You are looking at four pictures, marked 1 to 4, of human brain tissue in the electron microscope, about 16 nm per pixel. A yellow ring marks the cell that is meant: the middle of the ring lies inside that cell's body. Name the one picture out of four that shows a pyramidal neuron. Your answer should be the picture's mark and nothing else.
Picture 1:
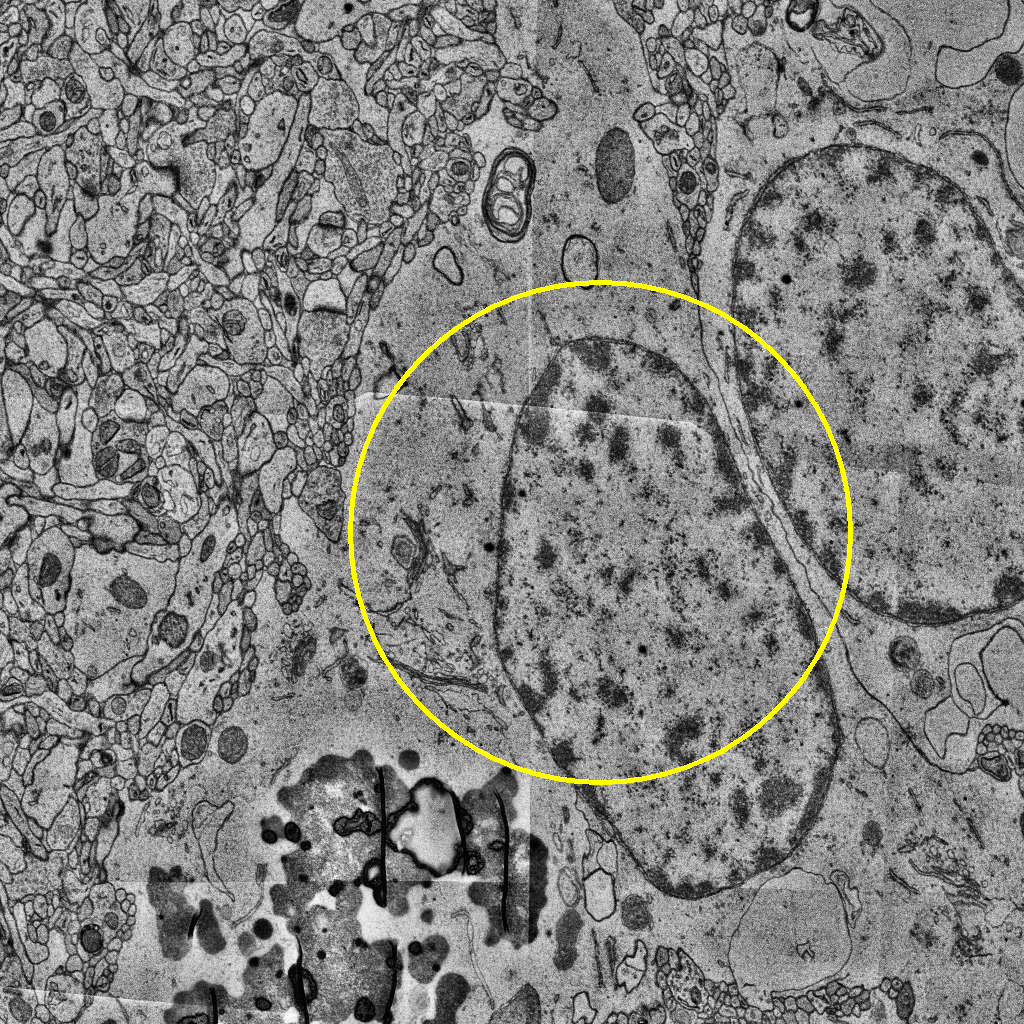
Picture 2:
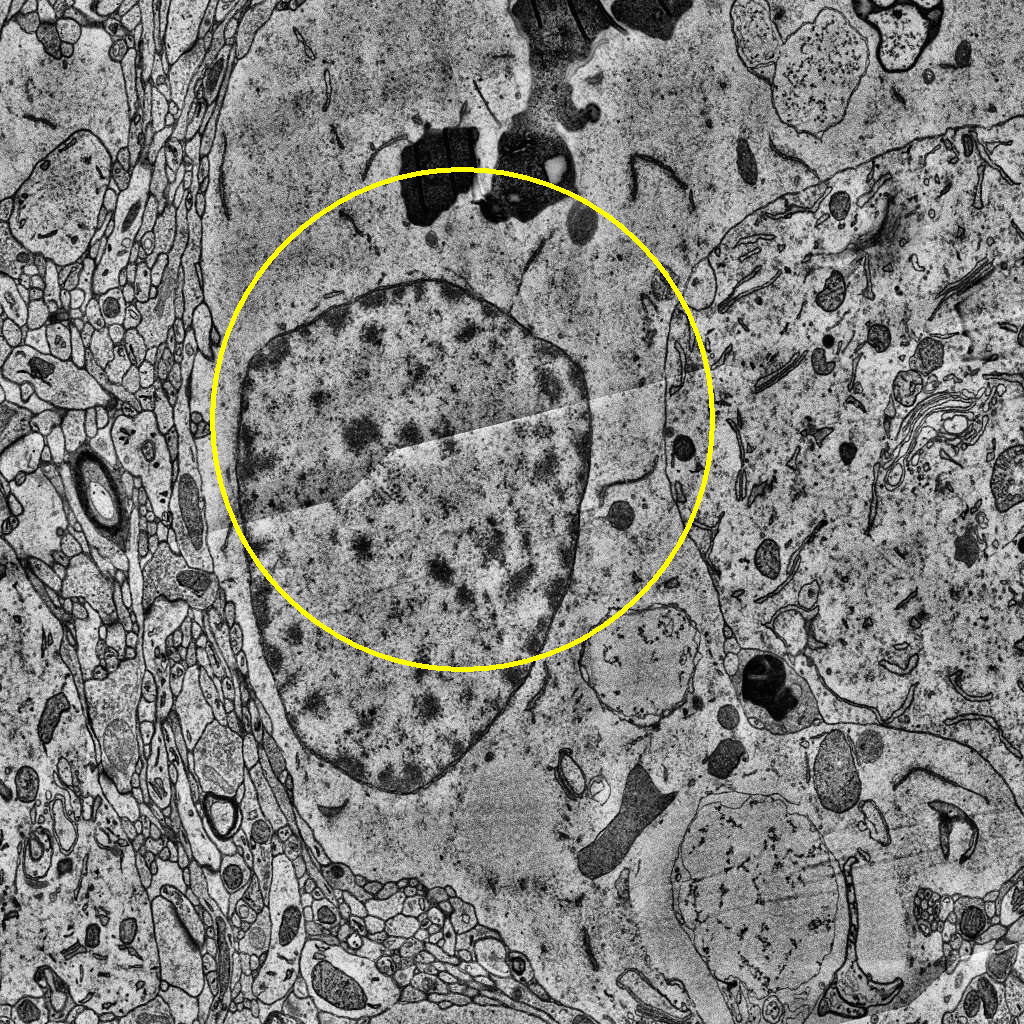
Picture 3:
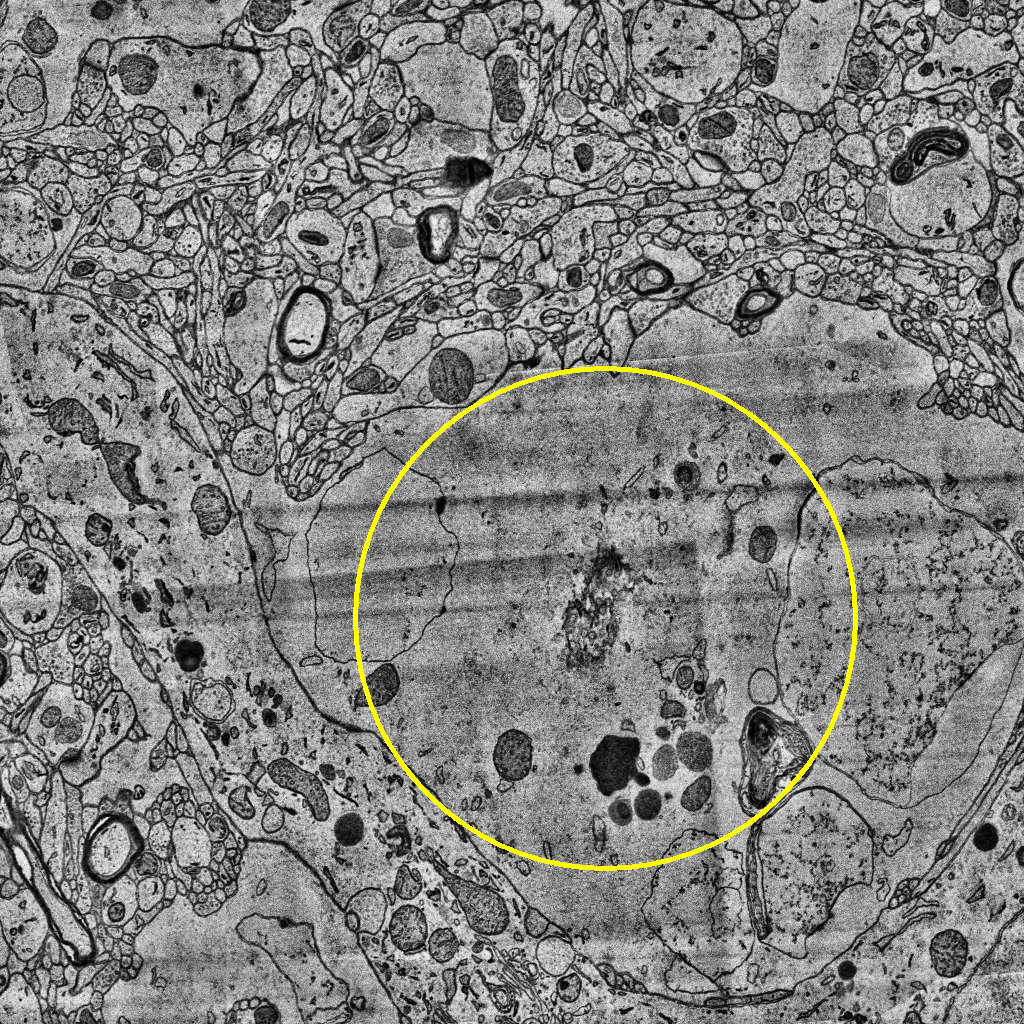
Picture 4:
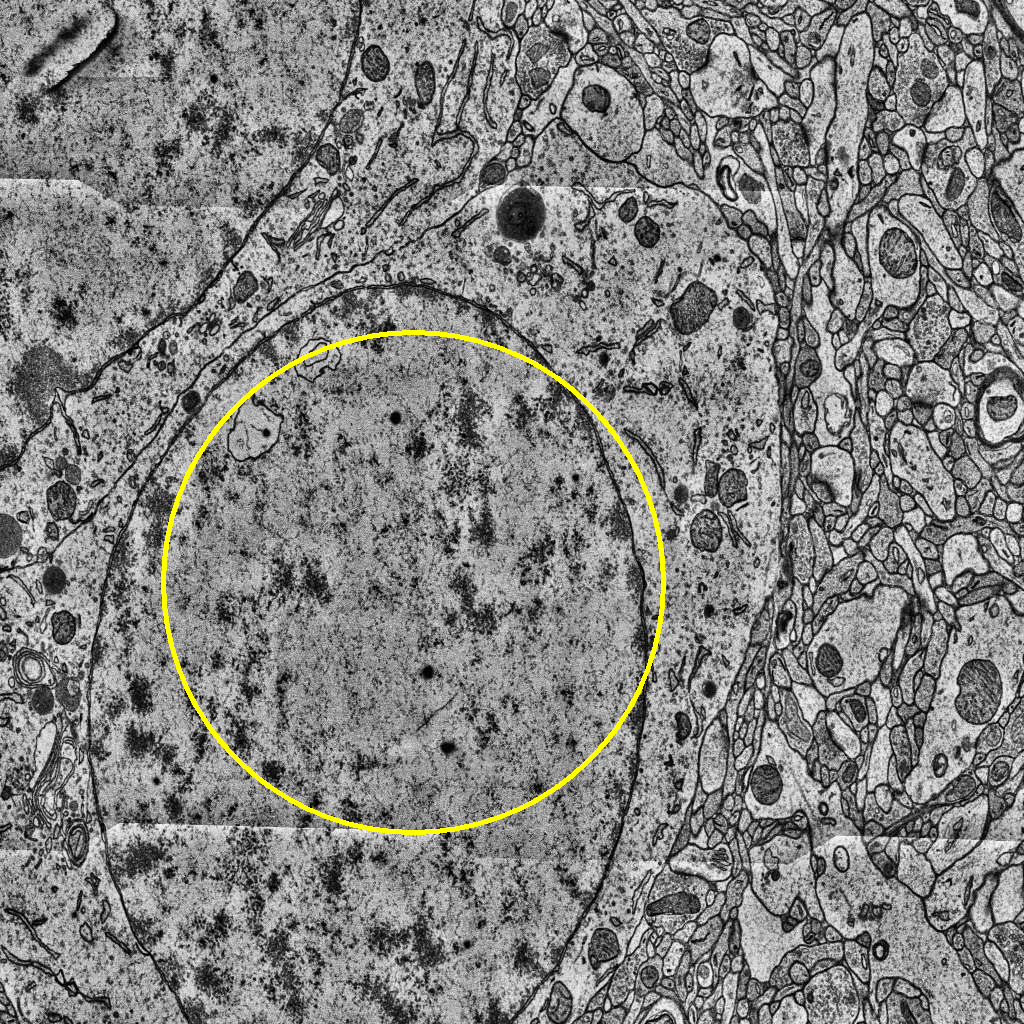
4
